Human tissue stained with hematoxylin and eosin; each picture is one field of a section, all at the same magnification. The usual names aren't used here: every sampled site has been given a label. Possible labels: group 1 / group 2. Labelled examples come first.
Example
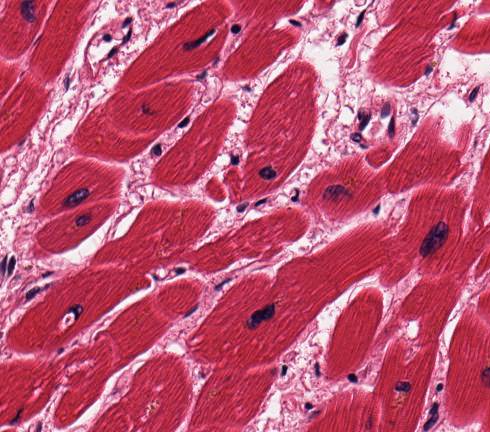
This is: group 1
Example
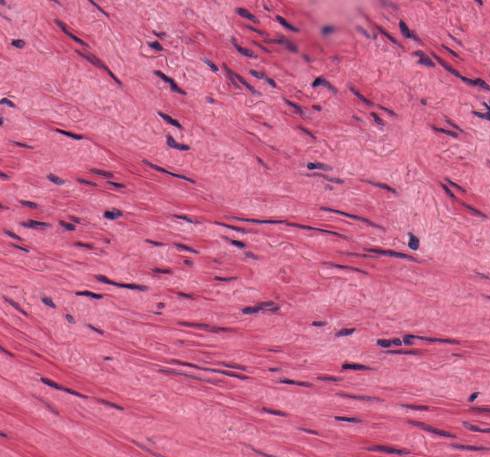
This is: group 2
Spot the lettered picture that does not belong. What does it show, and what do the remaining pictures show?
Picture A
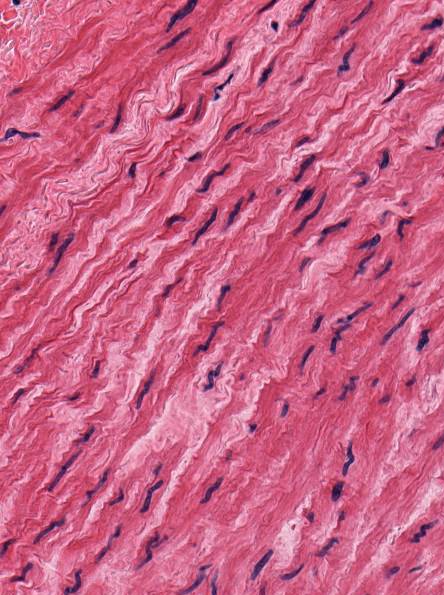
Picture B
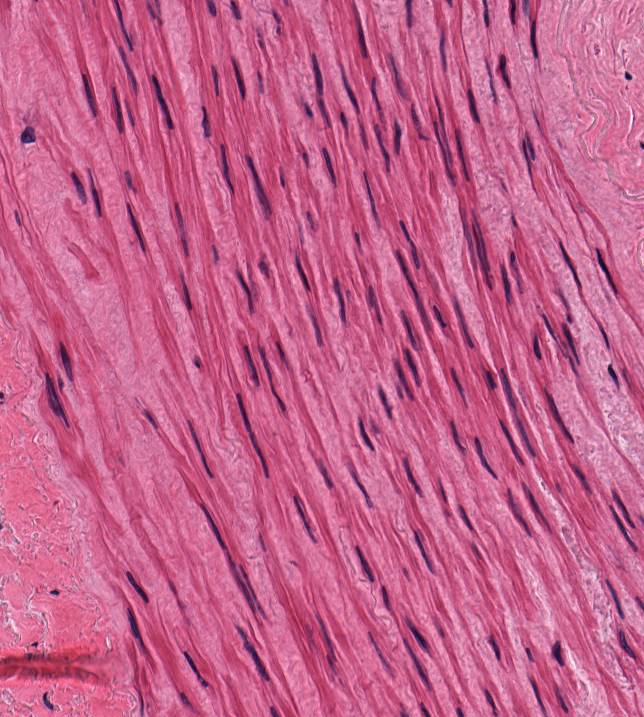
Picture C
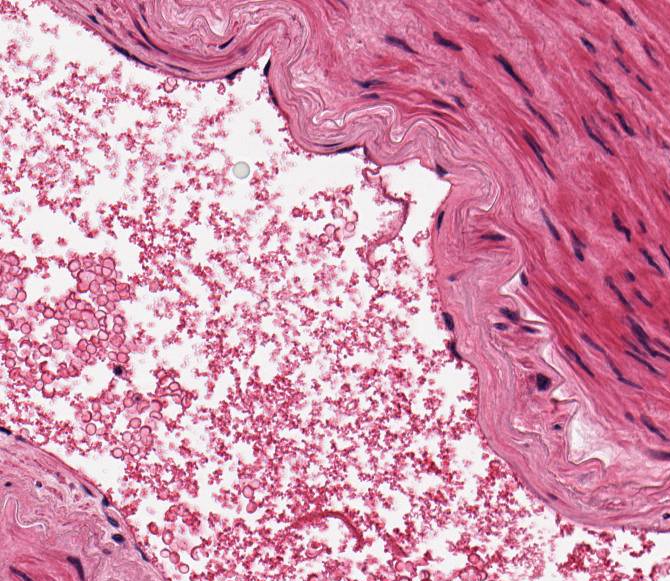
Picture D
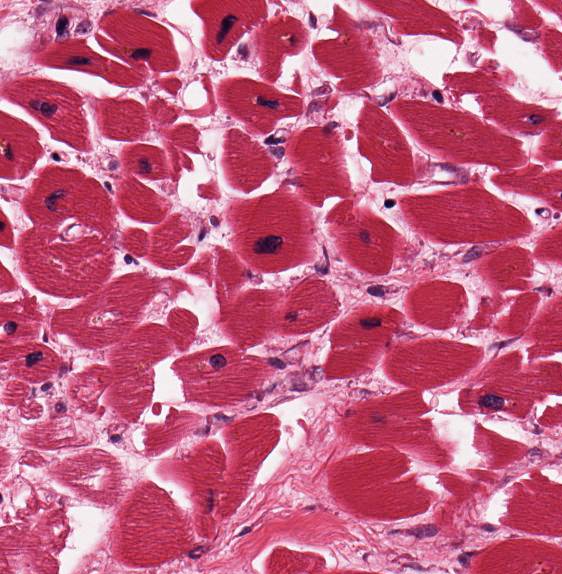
Exception: D, showing group 1. Remaining pictures: group 2.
